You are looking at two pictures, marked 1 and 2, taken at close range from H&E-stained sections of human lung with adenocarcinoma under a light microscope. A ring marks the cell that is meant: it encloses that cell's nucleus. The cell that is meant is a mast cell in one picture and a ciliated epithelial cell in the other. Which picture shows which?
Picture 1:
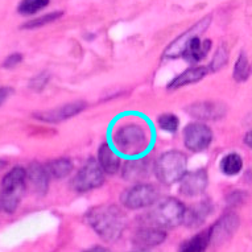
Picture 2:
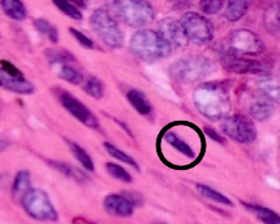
1: ciliated epithelial cell
2: mast cell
